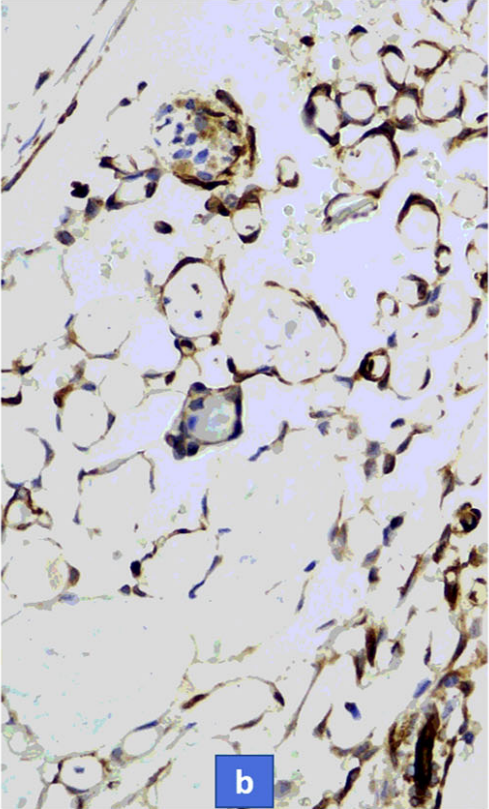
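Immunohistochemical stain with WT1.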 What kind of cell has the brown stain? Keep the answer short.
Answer: Endothelial cells.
